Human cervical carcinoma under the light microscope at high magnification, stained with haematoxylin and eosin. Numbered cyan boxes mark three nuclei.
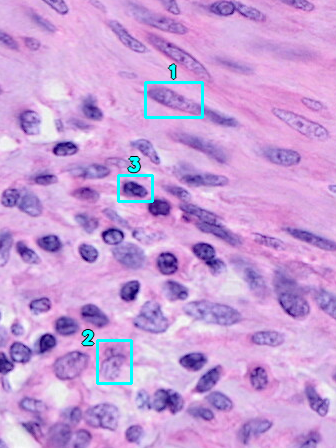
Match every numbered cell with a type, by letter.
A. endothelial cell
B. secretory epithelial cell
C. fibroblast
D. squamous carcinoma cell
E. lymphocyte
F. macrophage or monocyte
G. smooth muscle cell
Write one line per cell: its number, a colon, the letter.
1: G
2: A
3: E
